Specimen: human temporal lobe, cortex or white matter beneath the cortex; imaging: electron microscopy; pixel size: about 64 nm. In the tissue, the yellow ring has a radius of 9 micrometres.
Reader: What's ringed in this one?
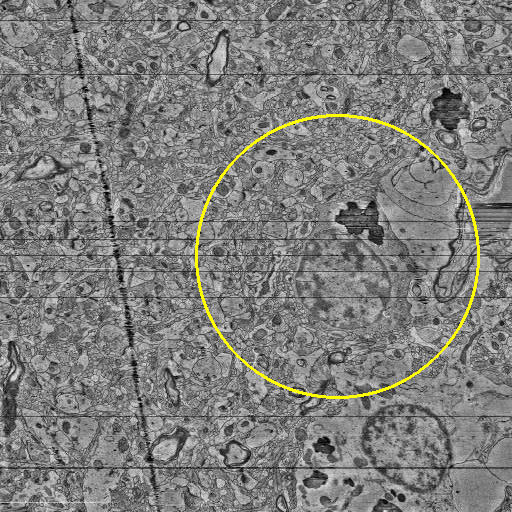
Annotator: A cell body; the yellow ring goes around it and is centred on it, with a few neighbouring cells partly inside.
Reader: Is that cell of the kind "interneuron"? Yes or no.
no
